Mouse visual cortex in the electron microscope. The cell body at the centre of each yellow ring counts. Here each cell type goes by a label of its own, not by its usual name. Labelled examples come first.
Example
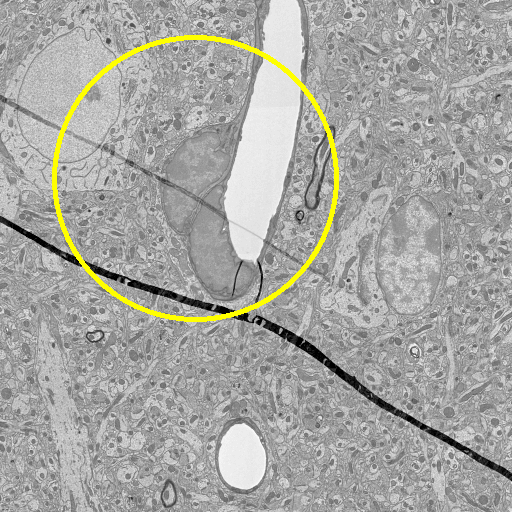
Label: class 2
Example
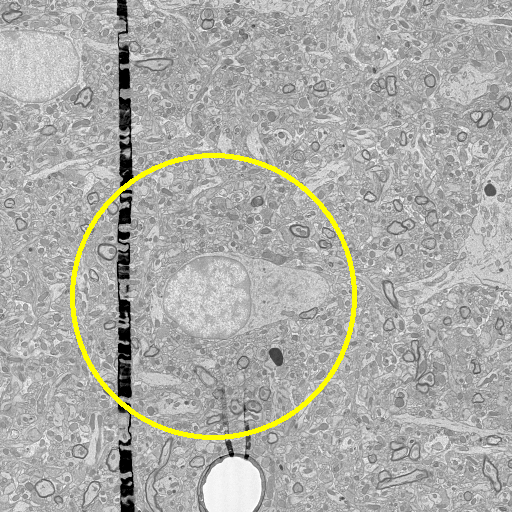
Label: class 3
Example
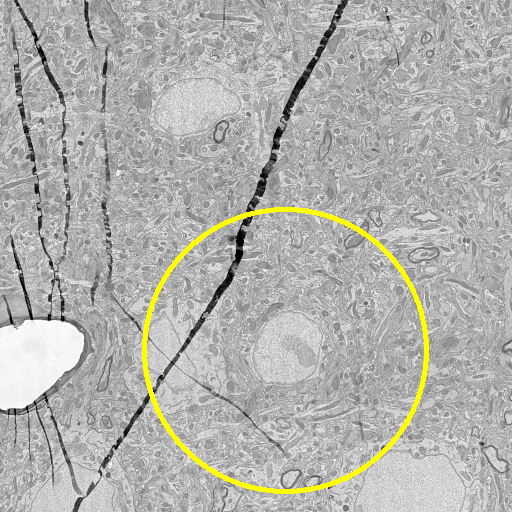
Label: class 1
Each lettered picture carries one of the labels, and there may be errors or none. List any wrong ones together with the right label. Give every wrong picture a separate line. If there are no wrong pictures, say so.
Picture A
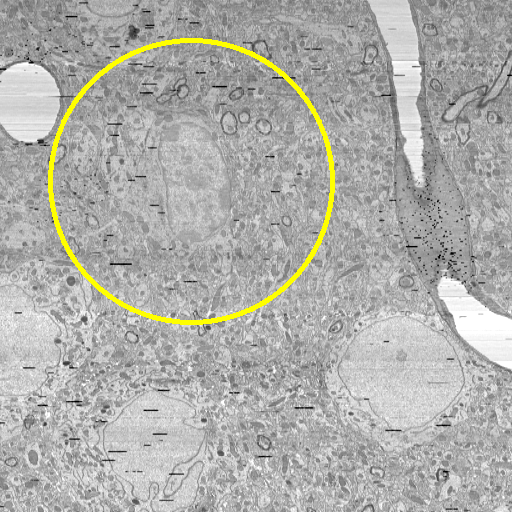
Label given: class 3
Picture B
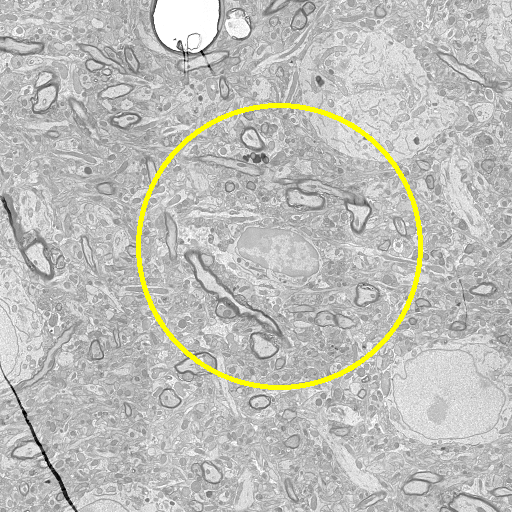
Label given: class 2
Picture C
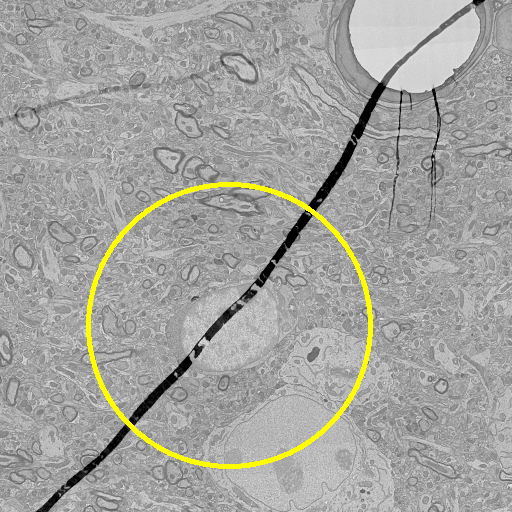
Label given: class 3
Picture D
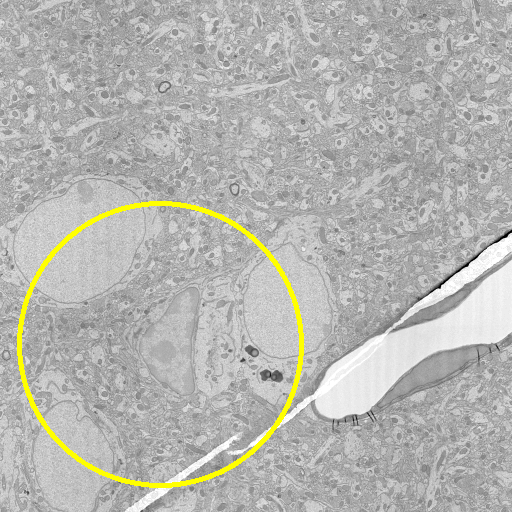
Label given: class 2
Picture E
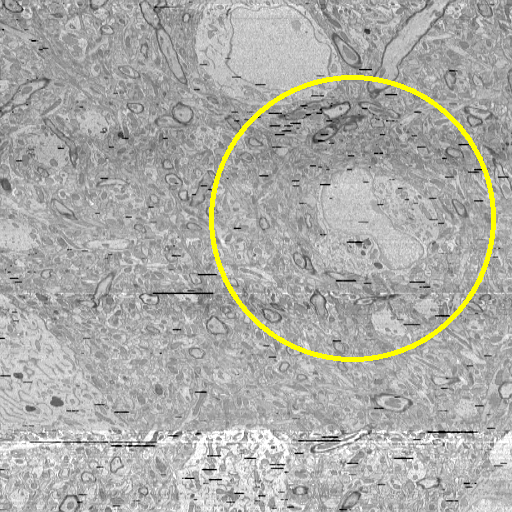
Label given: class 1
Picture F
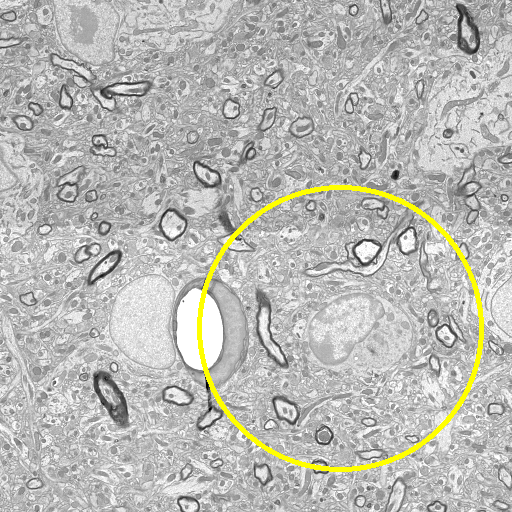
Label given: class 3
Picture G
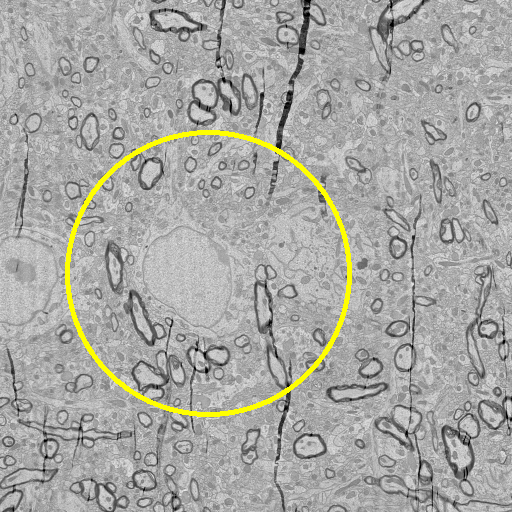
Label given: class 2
G should be class 1, not class 2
